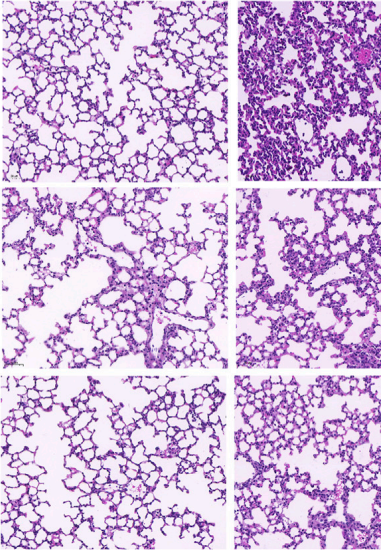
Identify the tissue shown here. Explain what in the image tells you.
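Many thin-walled air spaces separated by delicate septa. Lace-like network of pink septa with purple nuclei around open spaces.
Answer: lungs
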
